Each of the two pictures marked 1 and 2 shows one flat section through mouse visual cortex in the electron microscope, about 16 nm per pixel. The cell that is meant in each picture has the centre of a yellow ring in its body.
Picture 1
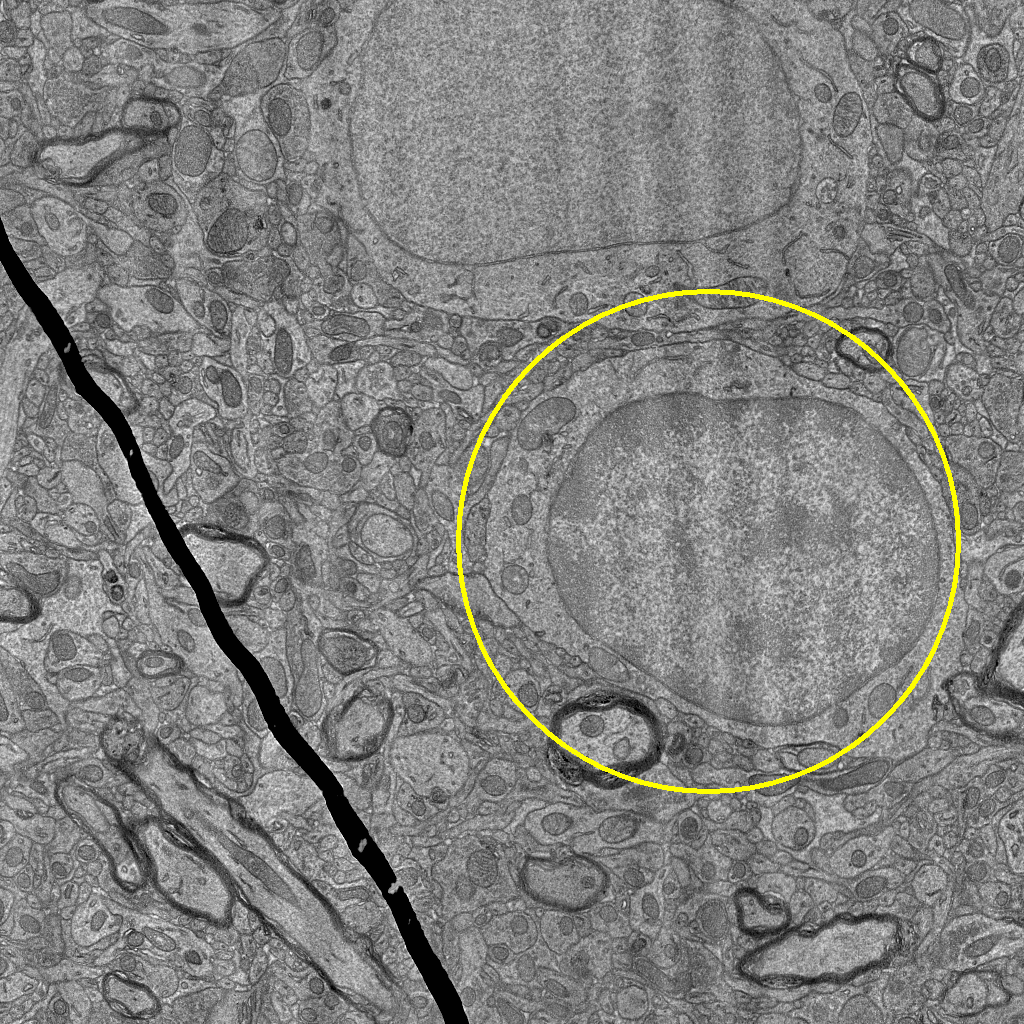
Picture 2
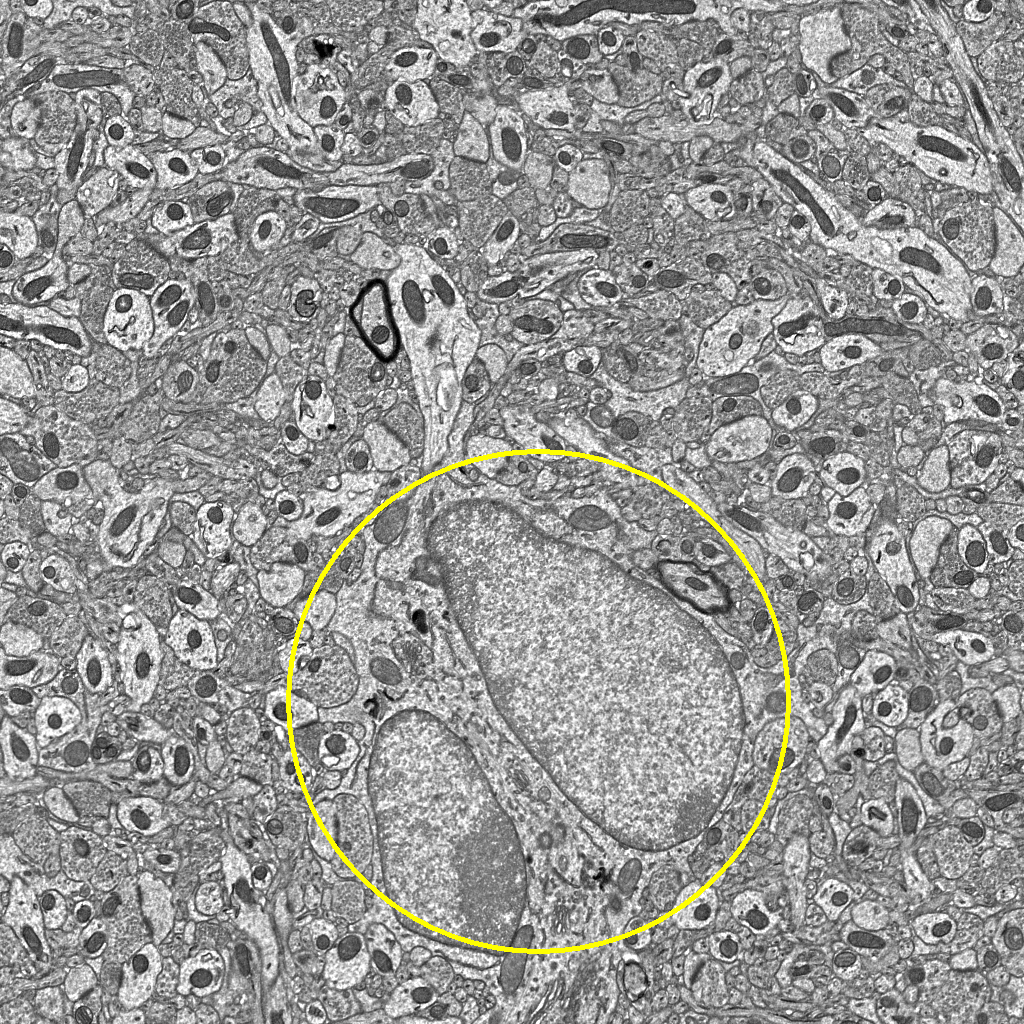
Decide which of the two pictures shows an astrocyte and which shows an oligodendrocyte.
Picture 1 is of an oligodendrocyte, and picture 2 is of an astrocyte.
